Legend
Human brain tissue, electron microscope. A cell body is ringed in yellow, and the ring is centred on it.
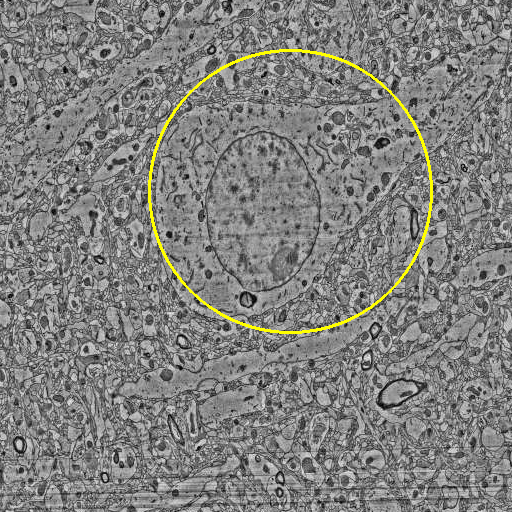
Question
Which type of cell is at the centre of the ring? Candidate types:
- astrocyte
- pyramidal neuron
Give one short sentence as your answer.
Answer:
The yellow ring is centred here on a pyramidal neuron.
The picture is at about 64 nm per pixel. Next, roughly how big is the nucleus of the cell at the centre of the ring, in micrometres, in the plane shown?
The ringed cell's nucleus is about 10 micrometres long and 8 micrometres wide in this plane.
